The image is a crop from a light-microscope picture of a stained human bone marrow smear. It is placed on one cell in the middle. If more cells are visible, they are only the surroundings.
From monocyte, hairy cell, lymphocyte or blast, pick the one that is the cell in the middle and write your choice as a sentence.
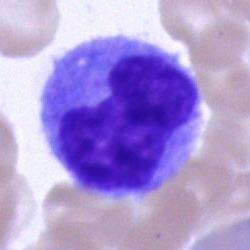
The cell occupying the middle of the crop is a monocyte.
